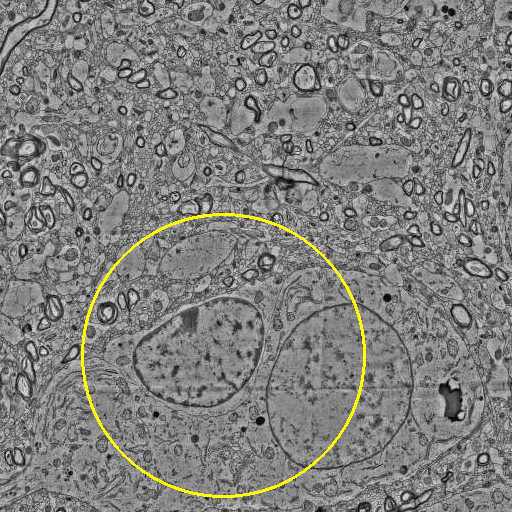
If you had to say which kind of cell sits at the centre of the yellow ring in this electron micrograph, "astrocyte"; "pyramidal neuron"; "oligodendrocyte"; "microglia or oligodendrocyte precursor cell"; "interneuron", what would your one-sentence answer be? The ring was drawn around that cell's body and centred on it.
The cell sitting at the centre of the ring is a microglial cell or oligodendrocyte precursor cell.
